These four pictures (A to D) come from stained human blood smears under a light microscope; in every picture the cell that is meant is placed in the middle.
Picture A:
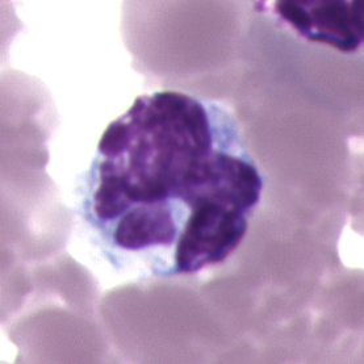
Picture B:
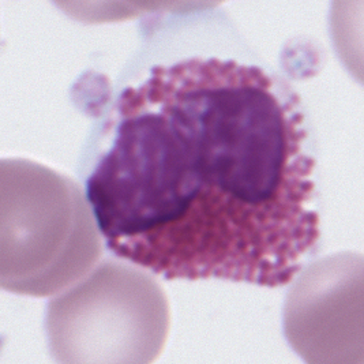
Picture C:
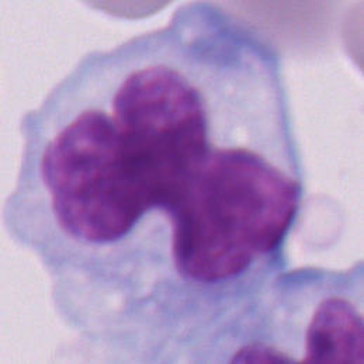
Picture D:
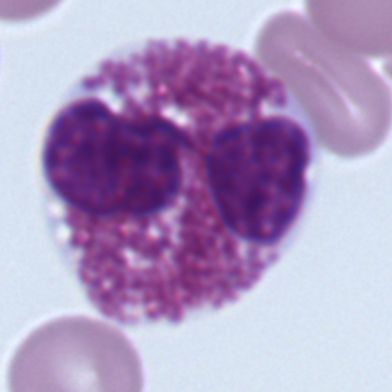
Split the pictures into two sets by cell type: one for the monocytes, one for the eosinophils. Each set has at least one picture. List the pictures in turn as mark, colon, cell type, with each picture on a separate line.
A: monocyte
B: eosinophil
C: monocyte
D: eosinophil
